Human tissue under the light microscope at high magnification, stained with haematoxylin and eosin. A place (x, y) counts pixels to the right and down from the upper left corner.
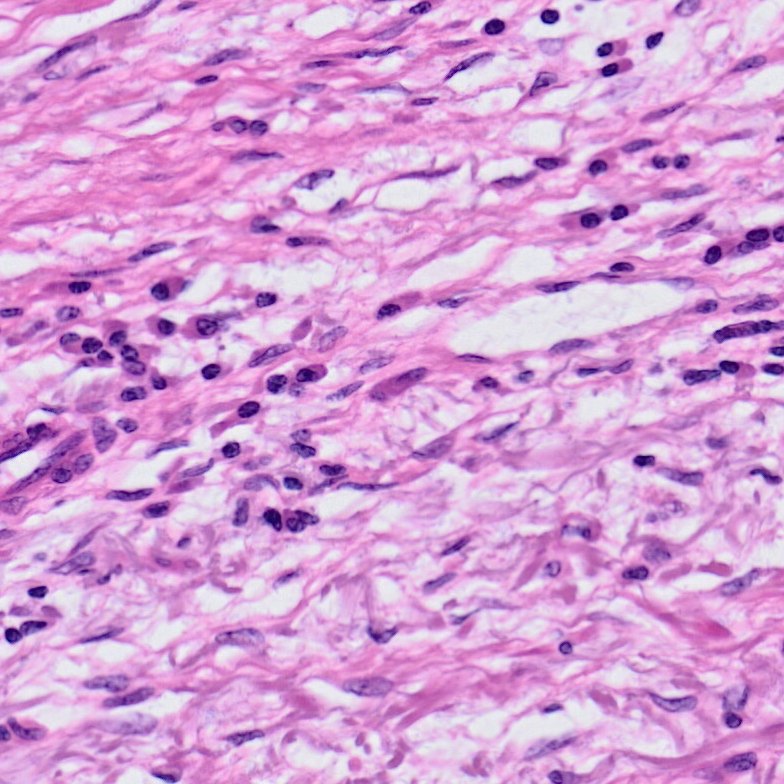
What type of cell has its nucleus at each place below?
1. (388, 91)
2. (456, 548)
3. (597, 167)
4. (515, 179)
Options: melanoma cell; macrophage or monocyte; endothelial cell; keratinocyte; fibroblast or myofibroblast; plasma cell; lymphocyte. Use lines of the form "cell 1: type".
cell 1: fibroblast or myofibroblast
cell 2: fibroblast or myofibroblast
cell 3: plasma cell
cell 4: fibroblast or myofibroblast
